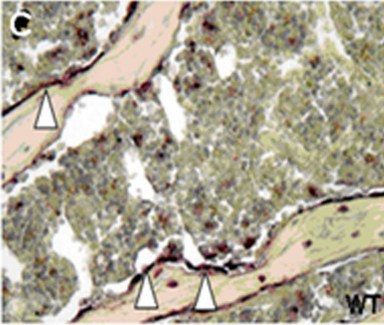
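A broad area of closely packed, small marrow cells lies between pale, smooth bands of bone. Along the edges of these bands there are a few thin, dark red cells pressed flat against the bone surface. These few flat, red cells on the bone are osteoclasts.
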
